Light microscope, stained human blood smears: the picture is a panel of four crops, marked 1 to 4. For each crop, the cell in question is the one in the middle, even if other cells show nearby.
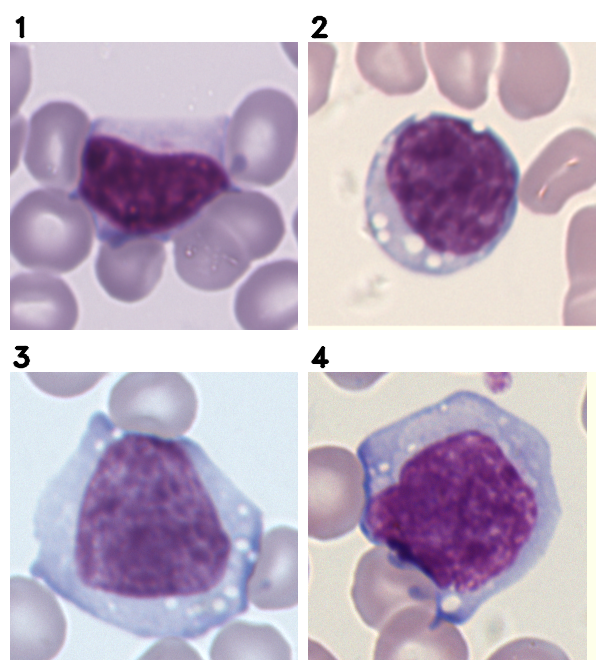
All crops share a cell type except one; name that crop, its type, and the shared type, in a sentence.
The pattern of myeloblasts across the crops is broken only by crop 1, which shows a typical lymphocyte.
